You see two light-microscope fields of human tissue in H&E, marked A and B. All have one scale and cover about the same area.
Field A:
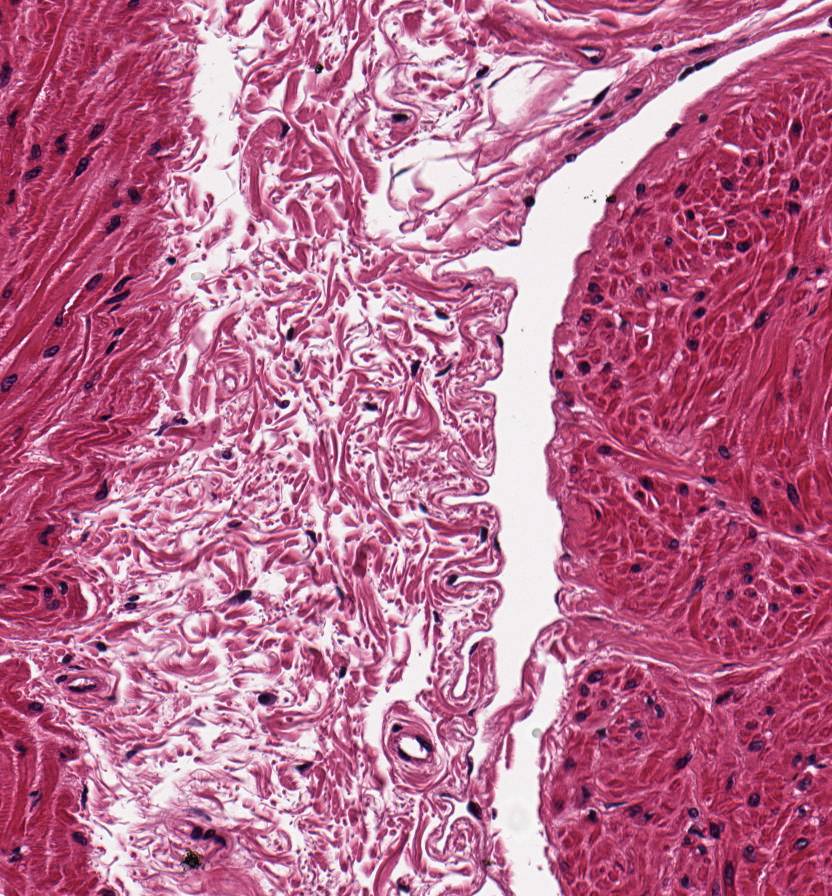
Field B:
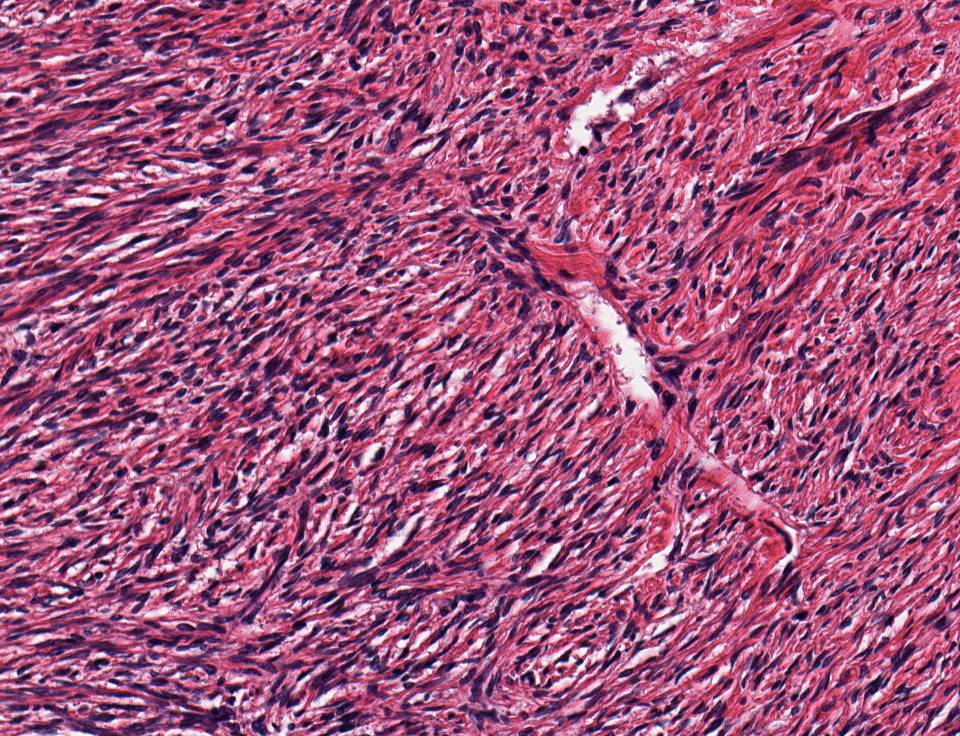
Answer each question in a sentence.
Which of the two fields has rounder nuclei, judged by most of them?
Rounder nuclei lie in field A.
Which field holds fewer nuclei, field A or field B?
Fewer nuclei lie in field A than in field B.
